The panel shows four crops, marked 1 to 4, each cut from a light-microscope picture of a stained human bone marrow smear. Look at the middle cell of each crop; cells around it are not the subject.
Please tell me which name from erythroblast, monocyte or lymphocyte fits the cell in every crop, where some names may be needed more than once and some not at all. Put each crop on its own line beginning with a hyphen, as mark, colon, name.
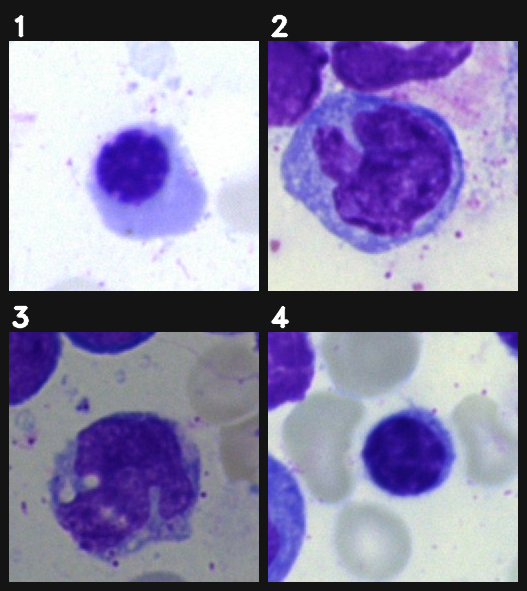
- 1: erythroblast
- 2: monocyte
- 3: monocyte
- 4: lymphocyte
